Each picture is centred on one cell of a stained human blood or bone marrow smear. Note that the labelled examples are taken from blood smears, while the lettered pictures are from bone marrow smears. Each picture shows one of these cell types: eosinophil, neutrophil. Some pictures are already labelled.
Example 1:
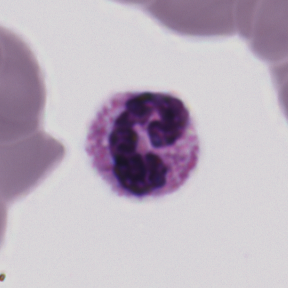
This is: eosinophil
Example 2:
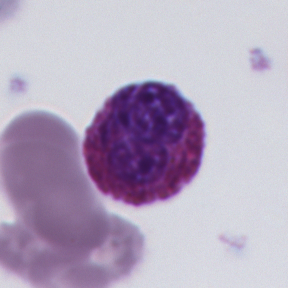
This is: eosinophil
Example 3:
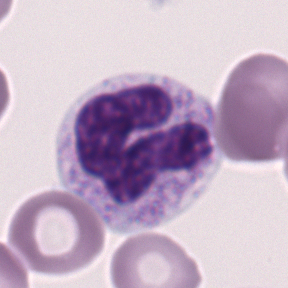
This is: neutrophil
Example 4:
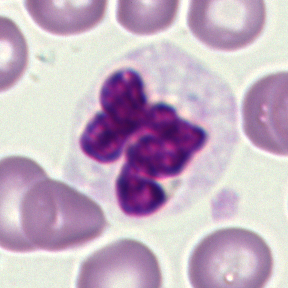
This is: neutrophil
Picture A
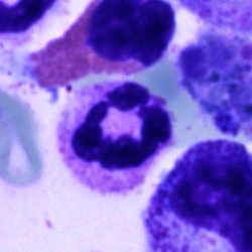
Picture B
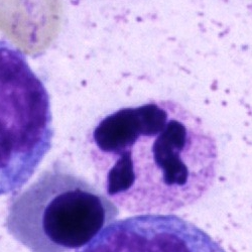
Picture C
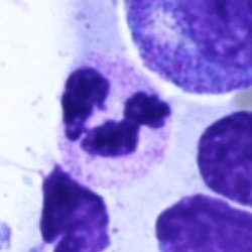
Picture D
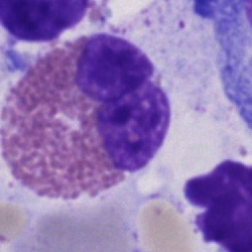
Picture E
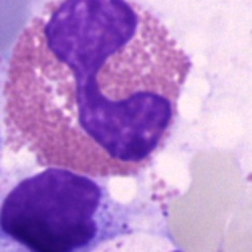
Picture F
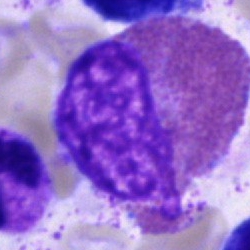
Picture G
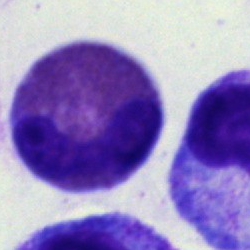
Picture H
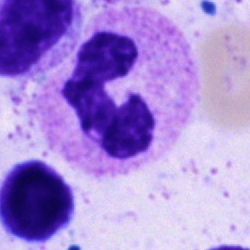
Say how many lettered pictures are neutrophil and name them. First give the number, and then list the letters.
4: A, B, C, H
